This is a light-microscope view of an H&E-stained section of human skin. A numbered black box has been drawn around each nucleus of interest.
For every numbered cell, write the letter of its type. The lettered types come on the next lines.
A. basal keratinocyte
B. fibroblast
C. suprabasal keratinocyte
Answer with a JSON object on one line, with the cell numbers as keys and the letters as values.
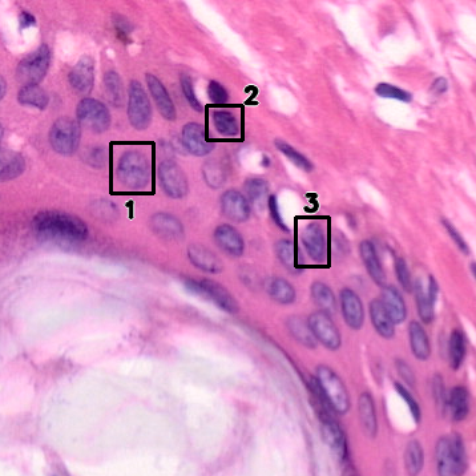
{"1": "C", "2": "A", "3": "A"}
